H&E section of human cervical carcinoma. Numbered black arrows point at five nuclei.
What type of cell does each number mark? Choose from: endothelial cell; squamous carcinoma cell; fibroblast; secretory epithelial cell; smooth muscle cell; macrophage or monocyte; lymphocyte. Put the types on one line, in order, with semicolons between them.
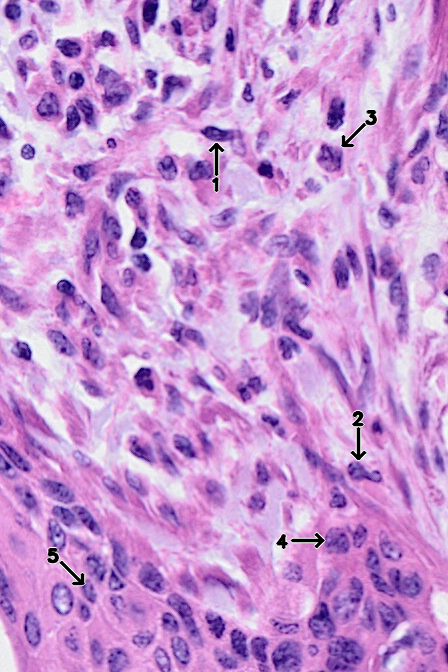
lymphocyte; lymphocyte; macrophage or monocyte; squamous carcinoma cell; squamous carcinoma cell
